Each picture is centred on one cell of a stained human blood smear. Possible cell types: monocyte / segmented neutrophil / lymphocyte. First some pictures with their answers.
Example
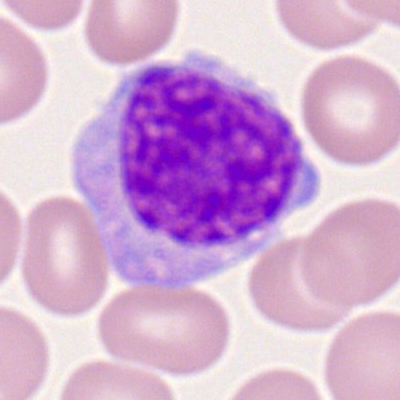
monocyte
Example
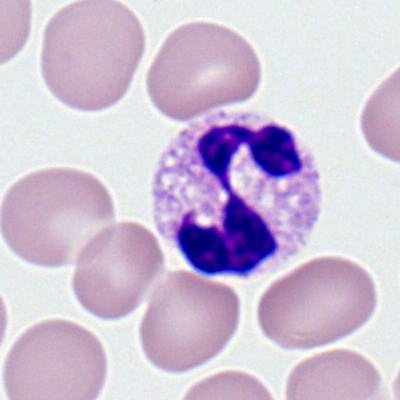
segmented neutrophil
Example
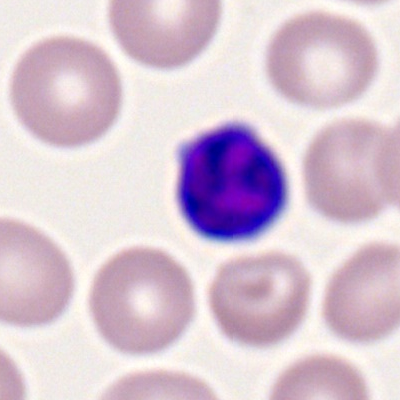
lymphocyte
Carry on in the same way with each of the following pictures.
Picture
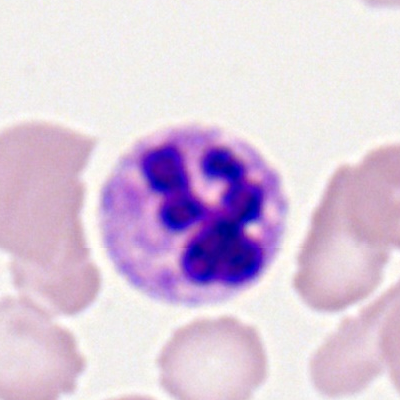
segmented neutrophil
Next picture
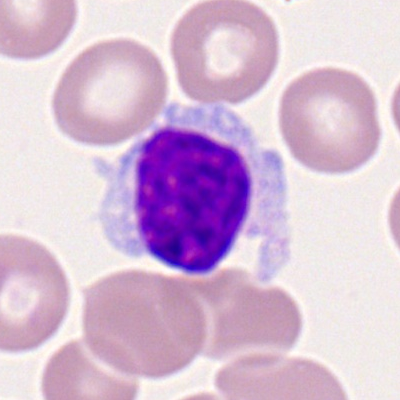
lymphocyte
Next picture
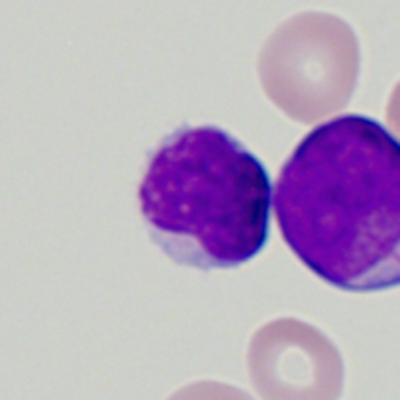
lymphocyte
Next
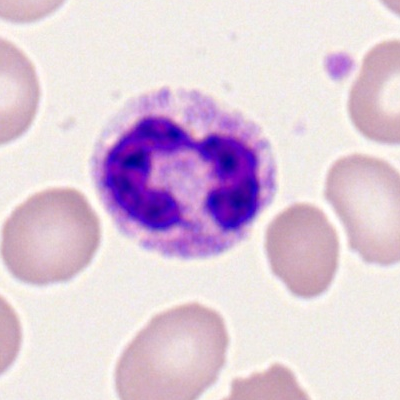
segmented neutrophil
